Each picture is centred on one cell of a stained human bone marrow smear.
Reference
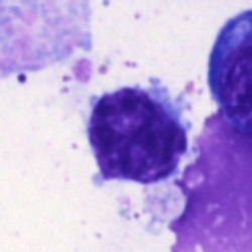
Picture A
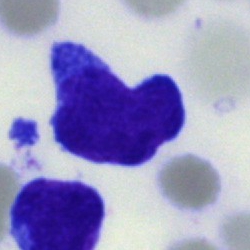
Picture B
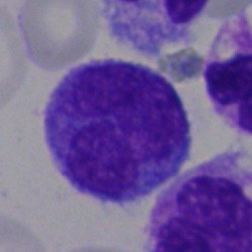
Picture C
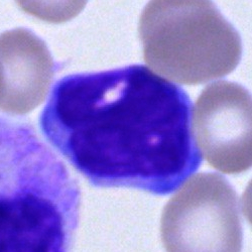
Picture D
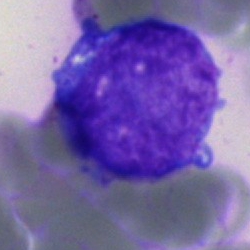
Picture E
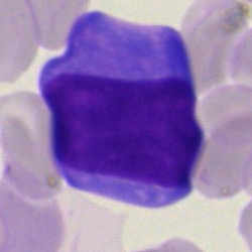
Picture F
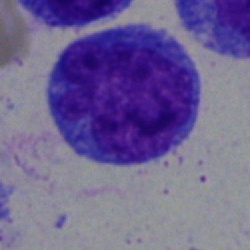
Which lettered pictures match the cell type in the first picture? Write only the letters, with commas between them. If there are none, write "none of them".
C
